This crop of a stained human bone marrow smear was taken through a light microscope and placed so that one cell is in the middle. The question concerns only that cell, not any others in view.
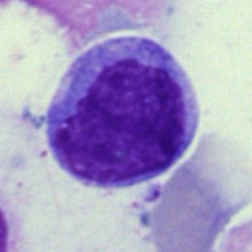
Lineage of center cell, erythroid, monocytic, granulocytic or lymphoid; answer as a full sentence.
In the crop, the cell at the center is of monocytic lineage.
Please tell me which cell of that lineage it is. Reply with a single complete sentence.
The cell at the heart of this crop is a monocyte.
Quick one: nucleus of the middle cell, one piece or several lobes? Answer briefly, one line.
The nucleus amounts to one compact mass with a round, oval or kidney-shaped outline.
